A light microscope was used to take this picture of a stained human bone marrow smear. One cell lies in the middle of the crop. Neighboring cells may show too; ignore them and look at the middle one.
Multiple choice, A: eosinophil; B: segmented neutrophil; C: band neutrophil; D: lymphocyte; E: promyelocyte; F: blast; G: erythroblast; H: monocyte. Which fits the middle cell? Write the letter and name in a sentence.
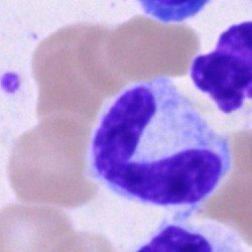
The correct identification, given in option C, is that the central cell is a band neutrophil.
